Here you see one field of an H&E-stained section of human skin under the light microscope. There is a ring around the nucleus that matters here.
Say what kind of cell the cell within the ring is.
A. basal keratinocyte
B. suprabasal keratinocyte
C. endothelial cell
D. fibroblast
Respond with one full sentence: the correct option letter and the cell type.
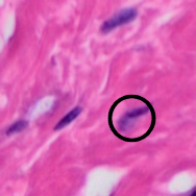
Option D is the right choice, for the cell within the ring is a fibroblast.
